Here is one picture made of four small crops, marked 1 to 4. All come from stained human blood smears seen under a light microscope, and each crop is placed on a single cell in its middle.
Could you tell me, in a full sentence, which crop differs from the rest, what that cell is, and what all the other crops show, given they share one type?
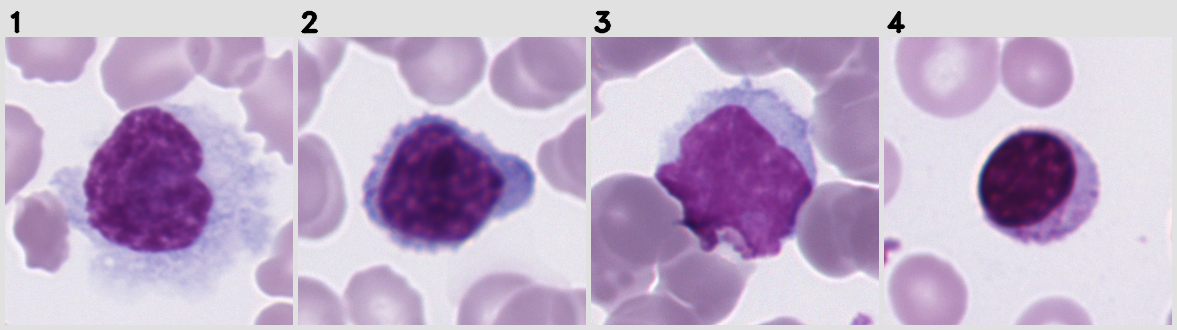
The rest of the crops show typical lymphocytes; crop 1 is the one showing a hairy cell.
